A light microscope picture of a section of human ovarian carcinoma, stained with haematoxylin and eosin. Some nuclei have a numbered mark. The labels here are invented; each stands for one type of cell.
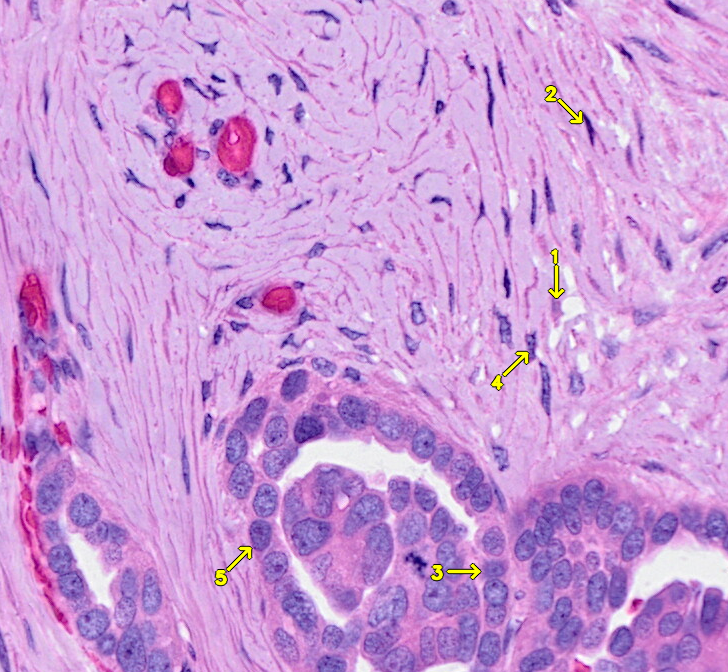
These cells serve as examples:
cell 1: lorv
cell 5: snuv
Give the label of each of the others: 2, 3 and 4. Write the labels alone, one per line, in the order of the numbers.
lorv
snuv
lorv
